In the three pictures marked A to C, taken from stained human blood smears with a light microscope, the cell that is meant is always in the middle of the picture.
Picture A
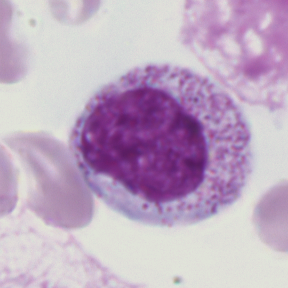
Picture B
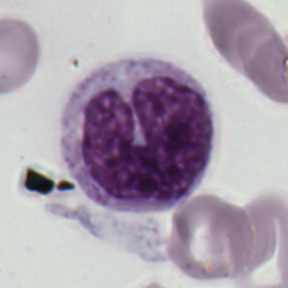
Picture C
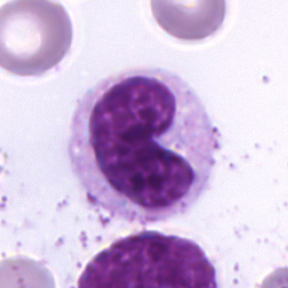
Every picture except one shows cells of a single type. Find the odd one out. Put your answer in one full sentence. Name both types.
The others show band neutrophils, but picture A shows a metamyelocyte.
